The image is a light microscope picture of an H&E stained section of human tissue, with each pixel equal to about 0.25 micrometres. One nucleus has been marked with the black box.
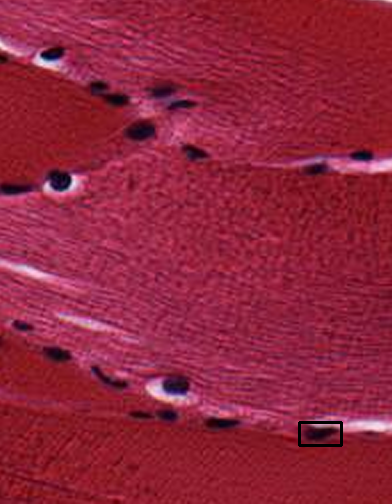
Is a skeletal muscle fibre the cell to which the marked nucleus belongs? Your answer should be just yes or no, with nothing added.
yes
